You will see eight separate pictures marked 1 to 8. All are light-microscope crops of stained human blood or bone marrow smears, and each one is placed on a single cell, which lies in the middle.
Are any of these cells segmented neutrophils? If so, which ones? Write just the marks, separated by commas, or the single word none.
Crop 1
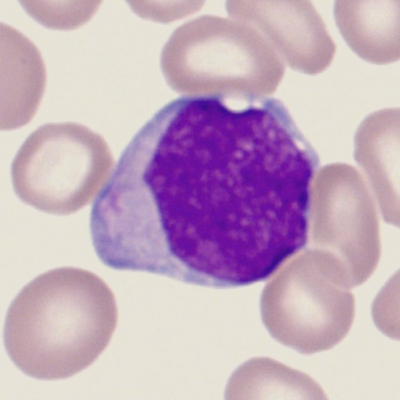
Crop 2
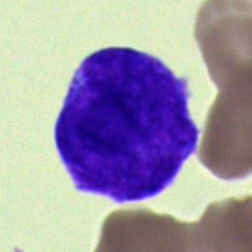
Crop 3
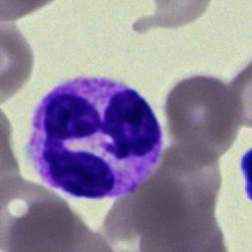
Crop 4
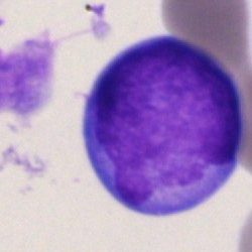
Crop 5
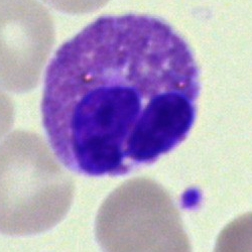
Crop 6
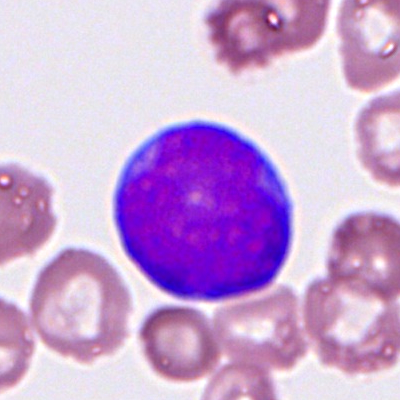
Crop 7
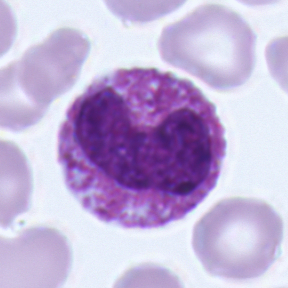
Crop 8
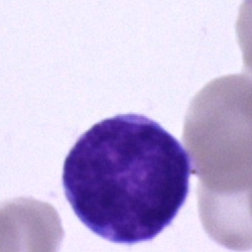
3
